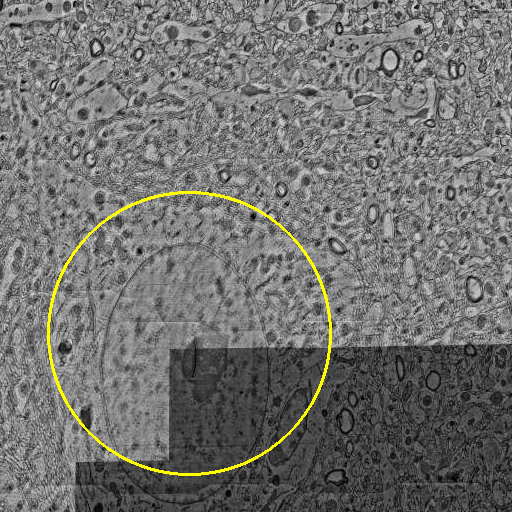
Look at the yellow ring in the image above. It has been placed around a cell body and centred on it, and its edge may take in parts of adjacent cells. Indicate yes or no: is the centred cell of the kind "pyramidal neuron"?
yes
